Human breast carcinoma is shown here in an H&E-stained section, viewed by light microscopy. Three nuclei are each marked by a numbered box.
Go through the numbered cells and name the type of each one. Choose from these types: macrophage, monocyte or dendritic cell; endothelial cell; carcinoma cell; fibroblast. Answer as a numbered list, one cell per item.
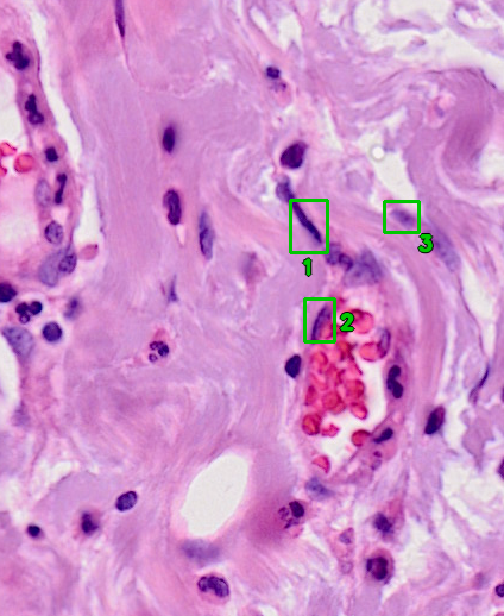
1. fibroblast
2. endothelial cell
3. fibroblast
